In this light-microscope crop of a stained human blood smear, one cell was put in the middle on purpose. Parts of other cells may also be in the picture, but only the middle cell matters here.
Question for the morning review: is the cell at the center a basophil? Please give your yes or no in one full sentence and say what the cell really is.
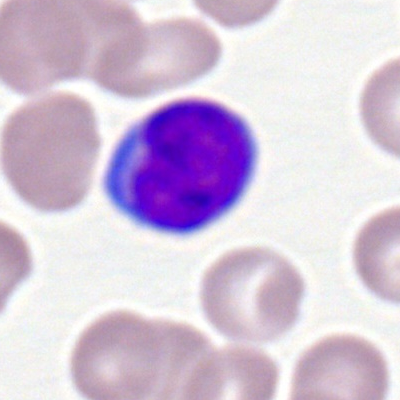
No, the central cell is classed as a lymphocyte and not as a basophil.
